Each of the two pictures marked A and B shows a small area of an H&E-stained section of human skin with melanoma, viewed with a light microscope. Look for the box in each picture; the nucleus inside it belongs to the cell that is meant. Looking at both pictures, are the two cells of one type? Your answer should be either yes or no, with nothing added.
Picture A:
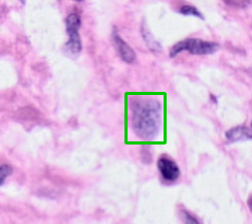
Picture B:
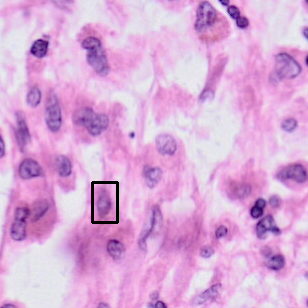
no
